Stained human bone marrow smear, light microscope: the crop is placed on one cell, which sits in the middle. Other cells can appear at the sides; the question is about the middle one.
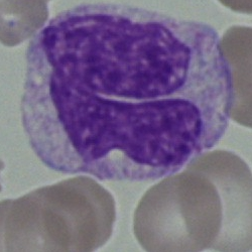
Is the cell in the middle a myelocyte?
no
